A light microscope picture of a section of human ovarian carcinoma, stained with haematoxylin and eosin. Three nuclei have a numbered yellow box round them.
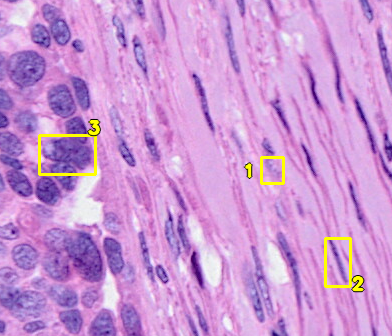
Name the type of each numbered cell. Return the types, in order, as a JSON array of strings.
["fibroblast", "fibroblast", "carcinoma cell"]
